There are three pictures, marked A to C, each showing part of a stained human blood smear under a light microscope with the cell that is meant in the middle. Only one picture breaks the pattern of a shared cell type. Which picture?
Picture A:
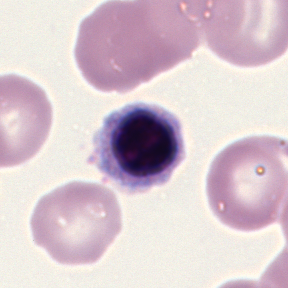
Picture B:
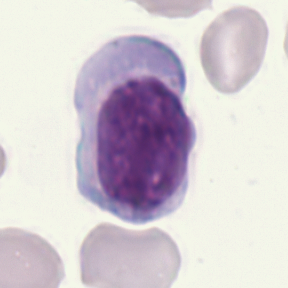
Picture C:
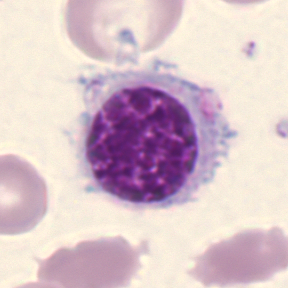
A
